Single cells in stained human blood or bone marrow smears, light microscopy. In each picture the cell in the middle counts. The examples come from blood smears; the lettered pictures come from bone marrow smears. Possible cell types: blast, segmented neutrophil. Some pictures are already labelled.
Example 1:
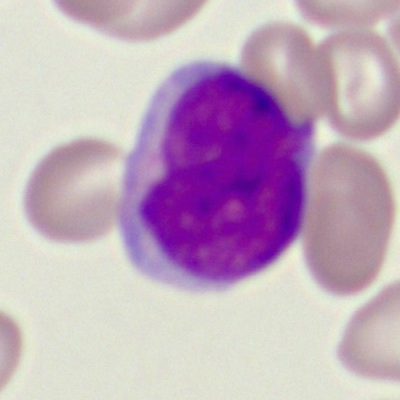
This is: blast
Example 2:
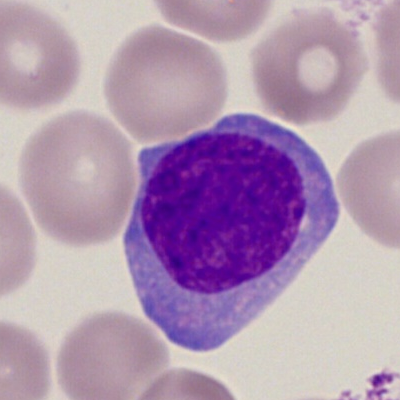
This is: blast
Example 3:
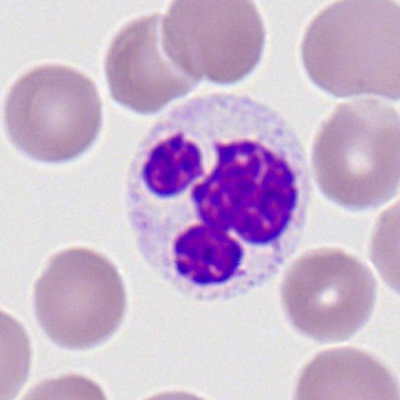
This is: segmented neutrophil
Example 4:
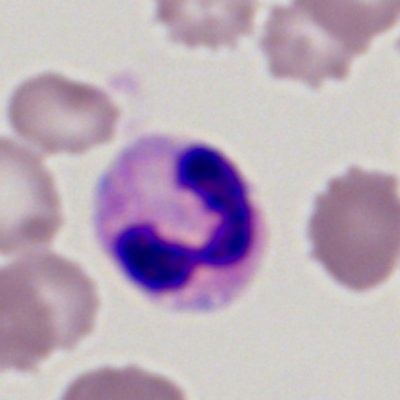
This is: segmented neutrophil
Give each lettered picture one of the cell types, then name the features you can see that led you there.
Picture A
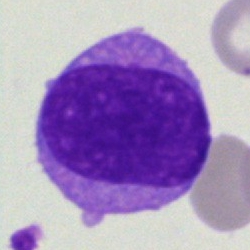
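Label: blast. The nucleus fills most of the cell.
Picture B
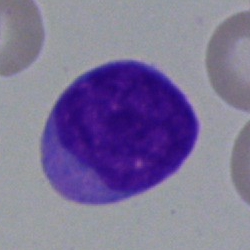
Label: blast. The nucleus fills most of the cell, leaving a small crescent of cytoplasm at the lower left.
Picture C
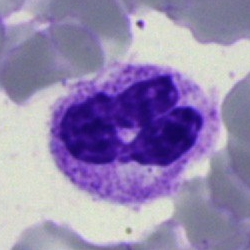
Label: segmented neutrophil. The chromatin is dark purple and coarsely clumped.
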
